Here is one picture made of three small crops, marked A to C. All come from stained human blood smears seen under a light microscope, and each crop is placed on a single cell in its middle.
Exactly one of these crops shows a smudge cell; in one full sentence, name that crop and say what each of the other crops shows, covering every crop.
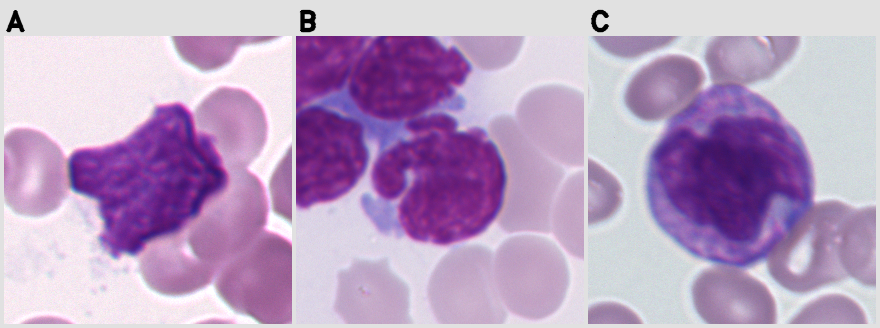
Crop A is a smudge cell; as for the rest, crop B is a myeloblast and crop C is an atypical promyelocyte.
